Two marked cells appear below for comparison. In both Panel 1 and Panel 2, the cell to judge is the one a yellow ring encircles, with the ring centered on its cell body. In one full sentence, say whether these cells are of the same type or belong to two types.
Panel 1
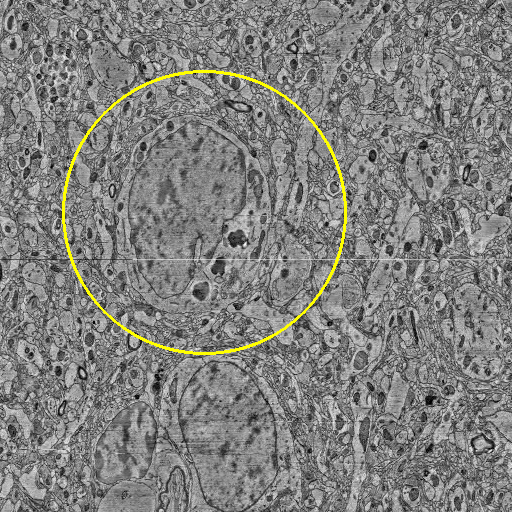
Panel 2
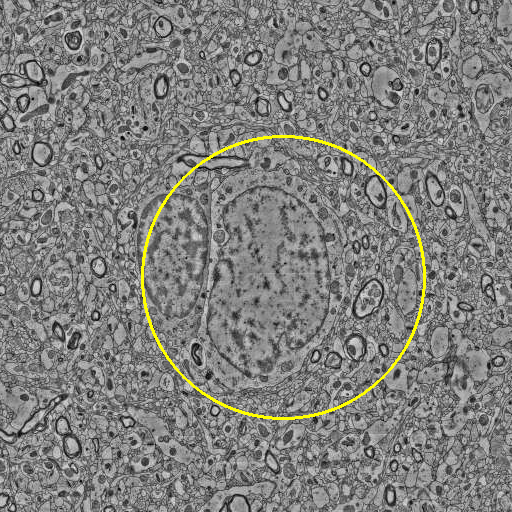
The cell centered in the Panel 1 ring and the one in Panel 2 are of the same type.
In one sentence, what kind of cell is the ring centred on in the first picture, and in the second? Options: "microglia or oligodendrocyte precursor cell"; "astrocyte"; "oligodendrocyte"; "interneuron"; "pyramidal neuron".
Both the first and the second picture show an interneuron in the ring.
